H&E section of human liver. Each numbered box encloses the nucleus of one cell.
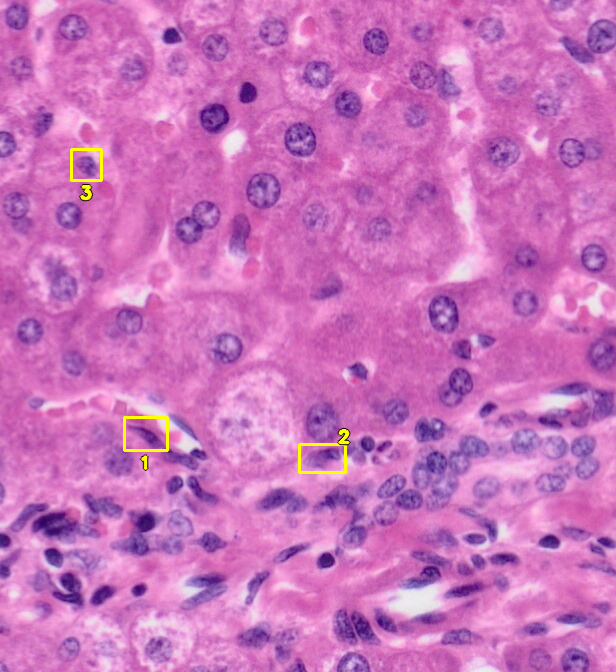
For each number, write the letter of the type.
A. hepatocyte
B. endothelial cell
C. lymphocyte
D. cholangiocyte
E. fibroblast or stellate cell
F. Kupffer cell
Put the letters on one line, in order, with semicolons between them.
E; E; B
